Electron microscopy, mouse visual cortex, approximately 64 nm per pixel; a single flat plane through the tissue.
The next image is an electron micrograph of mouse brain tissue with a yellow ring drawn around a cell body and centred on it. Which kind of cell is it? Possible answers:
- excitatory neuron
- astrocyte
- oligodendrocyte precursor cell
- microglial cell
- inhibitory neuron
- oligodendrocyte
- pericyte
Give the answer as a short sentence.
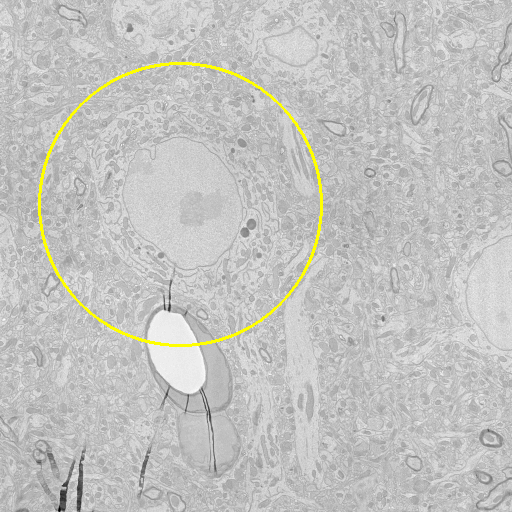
In the ring's centre is an inhibitory neuron.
